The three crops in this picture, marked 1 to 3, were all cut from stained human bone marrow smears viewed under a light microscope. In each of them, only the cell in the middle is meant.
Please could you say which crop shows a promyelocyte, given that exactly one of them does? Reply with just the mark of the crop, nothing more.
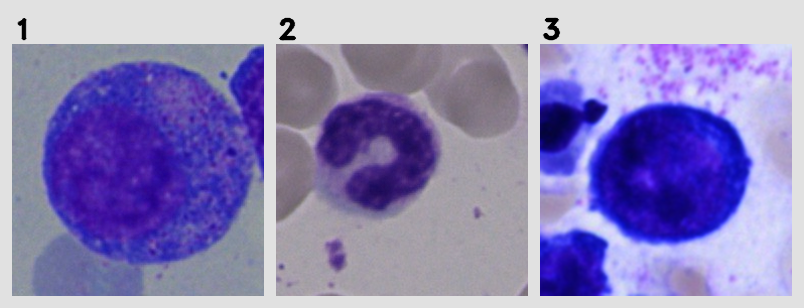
1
